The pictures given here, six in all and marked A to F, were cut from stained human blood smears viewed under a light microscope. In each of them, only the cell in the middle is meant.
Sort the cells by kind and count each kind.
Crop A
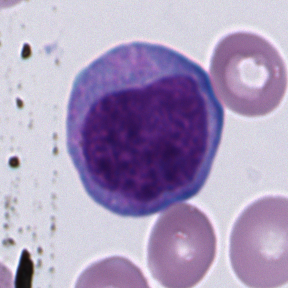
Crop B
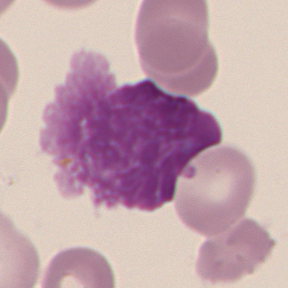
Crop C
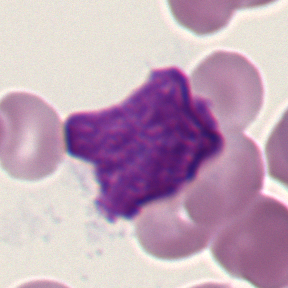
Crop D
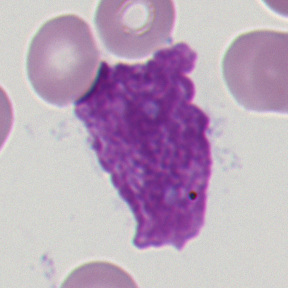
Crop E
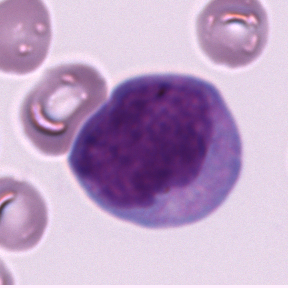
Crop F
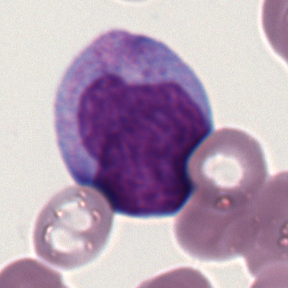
atypical promyelocyte: 3
smudge cell: 3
